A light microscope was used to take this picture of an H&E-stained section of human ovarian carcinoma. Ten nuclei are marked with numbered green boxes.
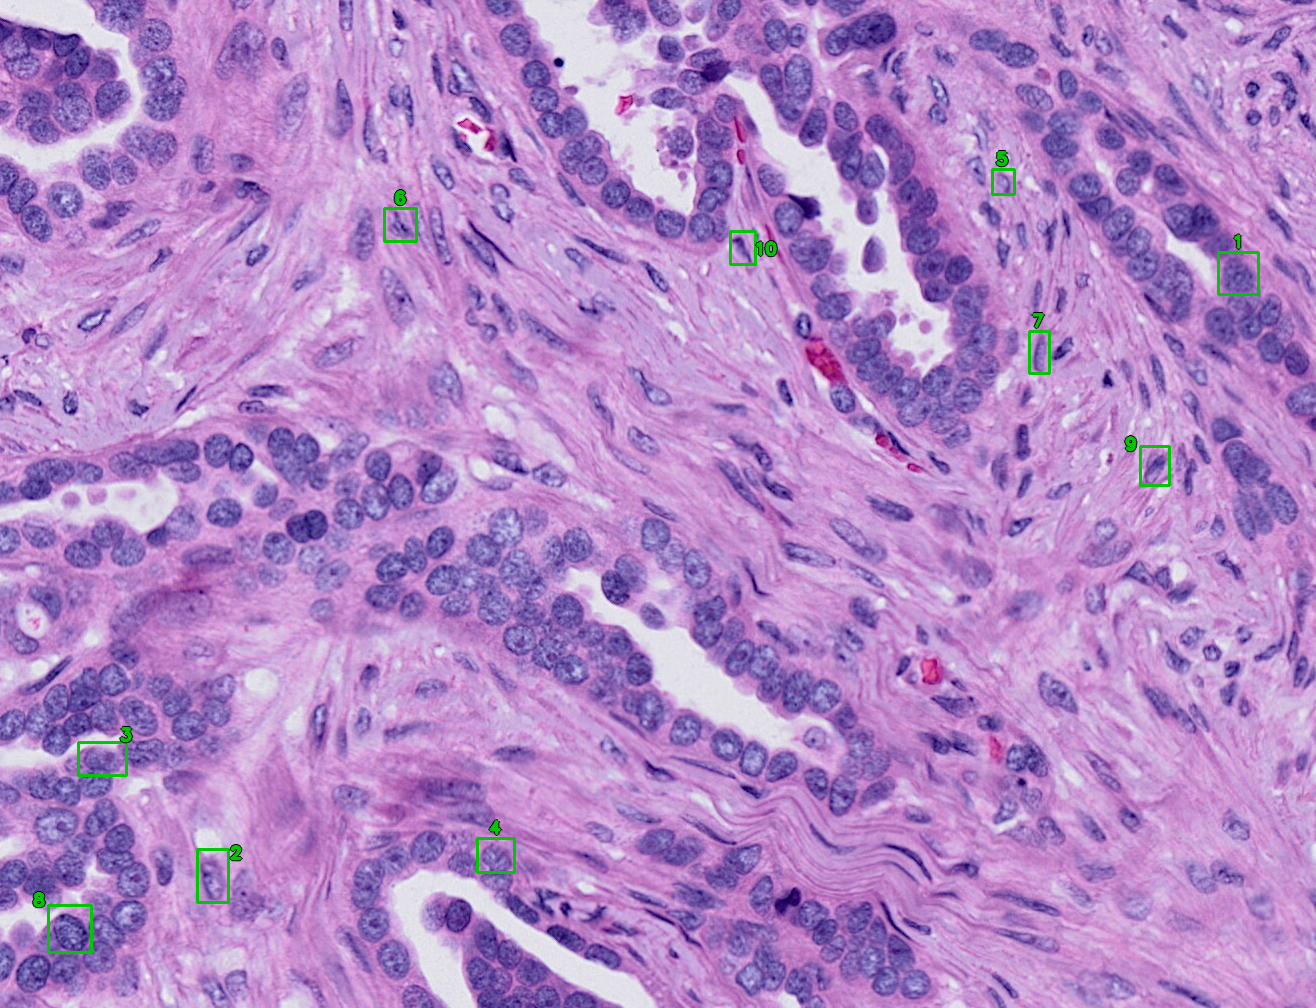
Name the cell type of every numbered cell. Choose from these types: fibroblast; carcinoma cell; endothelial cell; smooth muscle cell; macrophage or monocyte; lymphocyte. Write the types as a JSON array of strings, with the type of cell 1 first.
["carcinoma cell", "fibroblast", "carcinoma cell", "carcinoma cell", "fibroblast", "fibroblast", "fibroblast", "carcinoma cell", "fibroblast", "fibroblast"]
